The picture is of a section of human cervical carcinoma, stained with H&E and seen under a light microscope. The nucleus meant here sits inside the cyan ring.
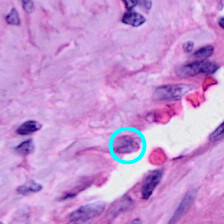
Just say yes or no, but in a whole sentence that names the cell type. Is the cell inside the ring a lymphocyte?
No, as classified here, the cell inside the ring is an endothelial cell and not a lymphocyte.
